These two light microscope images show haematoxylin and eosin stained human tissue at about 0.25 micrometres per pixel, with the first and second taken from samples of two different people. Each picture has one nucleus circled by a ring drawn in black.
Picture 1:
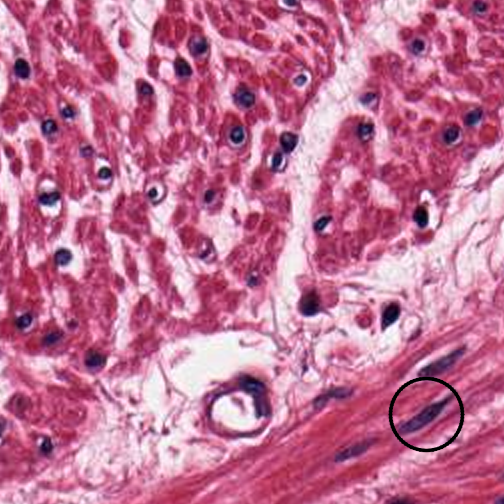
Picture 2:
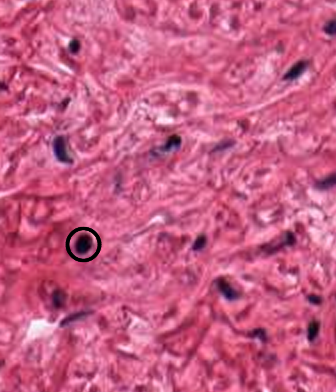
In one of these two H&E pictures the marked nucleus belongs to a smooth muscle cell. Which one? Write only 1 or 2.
1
